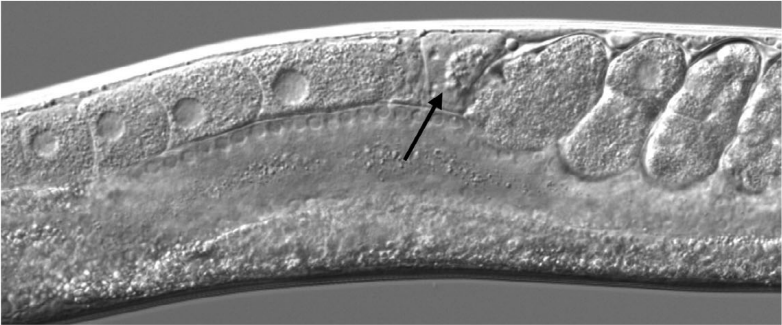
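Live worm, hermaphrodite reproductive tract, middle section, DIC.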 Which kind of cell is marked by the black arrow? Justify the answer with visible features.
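The arrow points at a cluster of small granular cells. These cells are far smaller than the large nucleated cells to their left. The cluster lies in a narrow chamber between the large cells on the left and the cleaving cells on the right. That points to this answer: sperm.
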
